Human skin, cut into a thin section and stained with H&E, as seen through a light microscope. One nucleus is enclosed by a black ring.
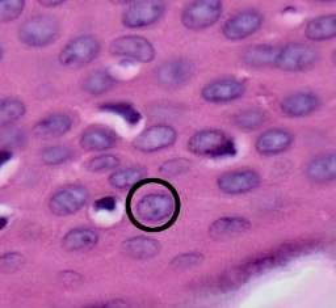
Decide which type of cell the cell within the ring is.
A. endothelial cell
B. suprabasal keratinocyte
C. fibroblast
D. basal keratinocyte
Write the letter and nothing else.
B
